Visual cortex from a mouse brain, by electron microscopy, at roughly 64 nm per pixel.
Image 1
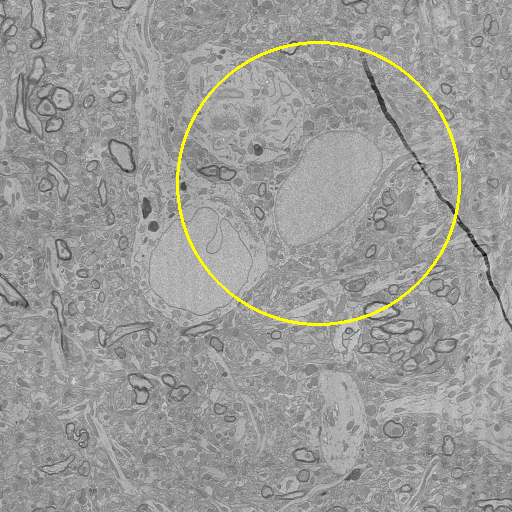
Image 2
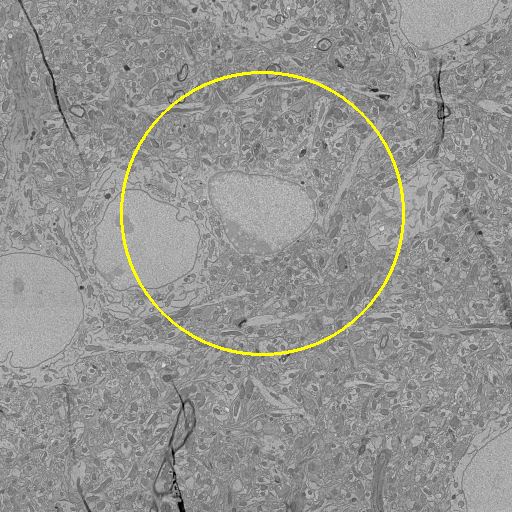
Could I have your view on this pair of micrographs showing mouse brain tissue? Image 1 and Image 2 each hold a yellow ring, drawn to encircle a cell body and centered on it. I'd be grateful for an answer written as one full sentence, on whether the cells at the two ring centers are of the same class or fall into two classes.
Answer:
The cells at the centers of the two rings are of the same class.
